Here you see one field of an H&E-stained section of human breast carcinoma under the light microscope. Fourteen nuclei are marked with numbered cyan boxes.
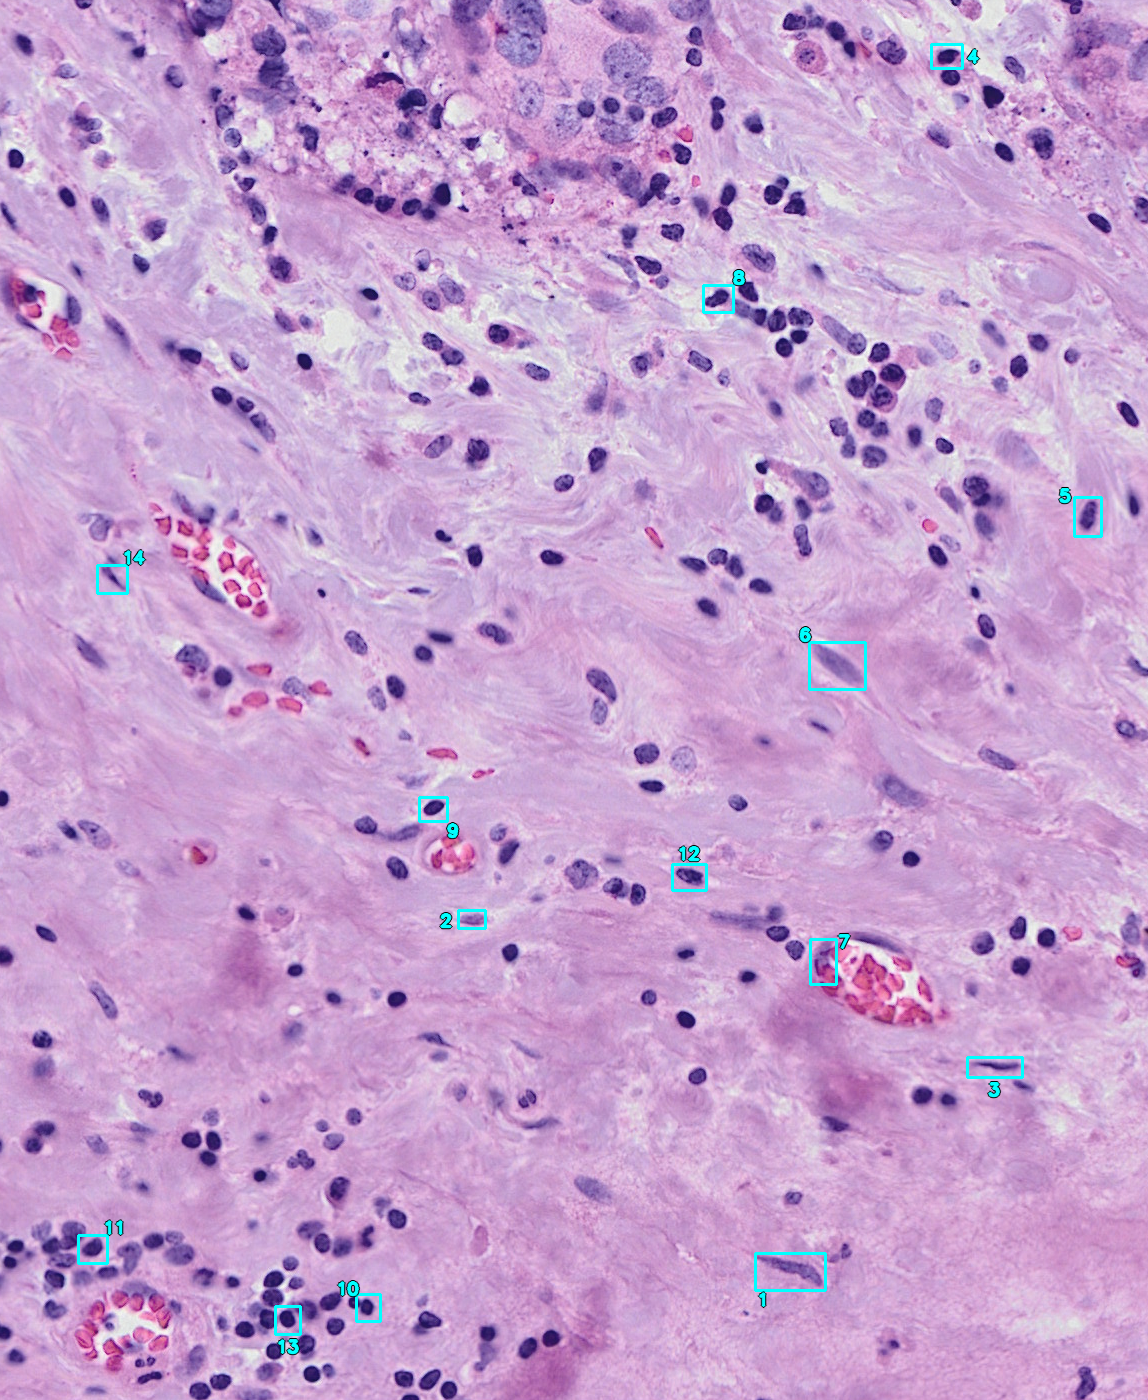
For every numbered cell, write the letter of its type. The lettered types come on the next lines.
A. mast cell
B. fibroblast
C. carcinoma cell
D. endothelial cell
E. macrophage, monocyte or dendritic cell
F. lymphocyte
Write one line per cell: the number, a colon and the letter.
1: B
2: B
3: B
4: F
5: F
6: B
7: D
8: F
9: F
10: F
11: F
12: F
13: F
14: B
